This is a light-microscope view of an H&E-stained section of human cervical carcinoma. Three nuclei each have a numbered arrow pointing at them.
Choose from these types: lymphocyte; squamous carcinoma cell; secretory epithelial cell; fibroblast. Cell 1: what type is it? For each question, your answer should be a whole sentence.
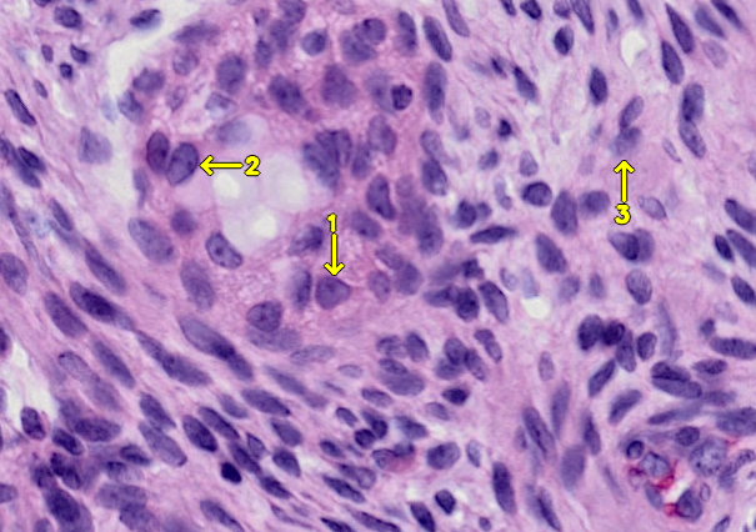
The cell marked with number 1 is a secretory epithelial cell.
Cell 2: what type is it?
Marked with the number 2, this cell is a secretory epithelial cell.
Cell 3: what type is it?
Among the marked nuclei, number 3 belongs to a fibroblast.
